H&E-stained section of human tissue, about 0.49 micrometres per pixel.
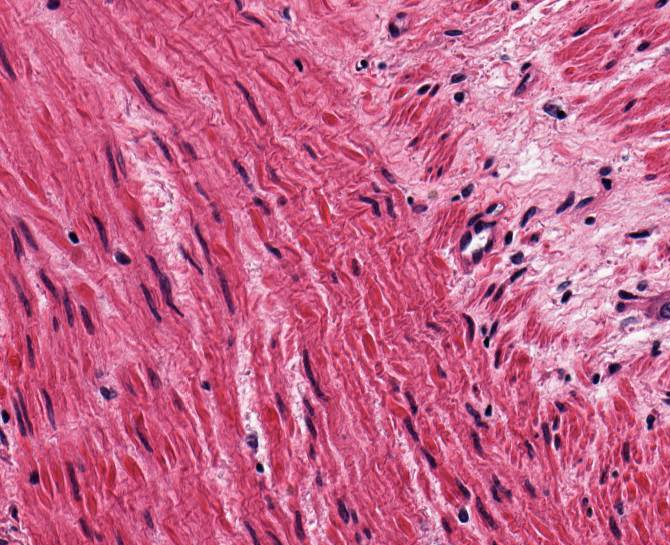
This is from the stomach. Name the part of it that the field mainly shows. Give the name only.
smooth muscle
